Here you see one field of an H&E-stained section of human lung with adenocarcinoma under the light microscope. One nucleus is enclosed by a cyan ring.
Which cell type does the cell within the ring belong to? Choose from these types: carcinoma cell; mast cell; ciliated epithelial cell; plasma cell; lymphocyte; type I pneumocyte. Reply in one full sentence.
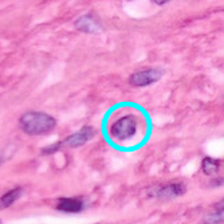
In the context of this tissue, the cell within the ring is a mast cell.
